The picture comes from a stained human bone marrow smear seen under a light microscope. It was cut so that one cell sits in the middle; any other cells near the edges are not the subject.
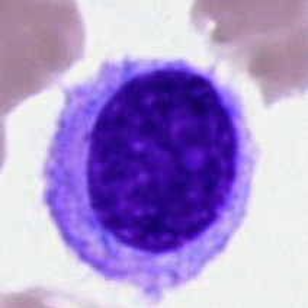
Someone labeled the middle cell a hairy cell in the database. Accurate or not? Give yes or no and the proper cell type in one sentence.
Yes, the cell in the middle is rightly called a hairy cell.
